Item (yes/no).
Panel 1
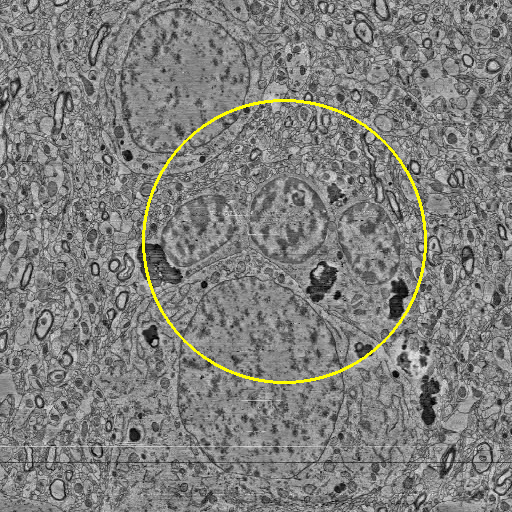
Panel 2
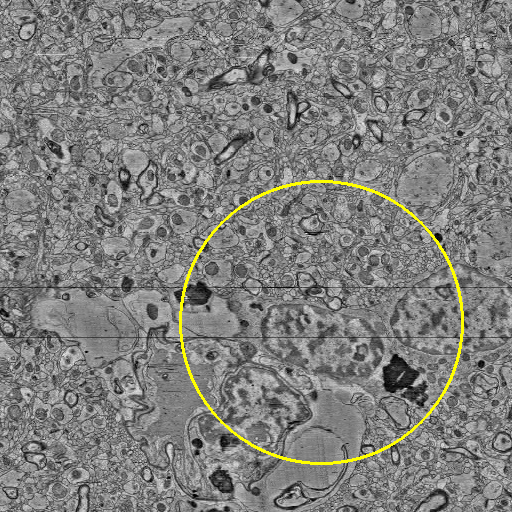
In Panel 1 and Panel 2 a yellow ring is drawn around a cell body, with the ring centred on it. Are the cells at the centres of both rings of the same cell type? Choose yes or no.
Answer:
yes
